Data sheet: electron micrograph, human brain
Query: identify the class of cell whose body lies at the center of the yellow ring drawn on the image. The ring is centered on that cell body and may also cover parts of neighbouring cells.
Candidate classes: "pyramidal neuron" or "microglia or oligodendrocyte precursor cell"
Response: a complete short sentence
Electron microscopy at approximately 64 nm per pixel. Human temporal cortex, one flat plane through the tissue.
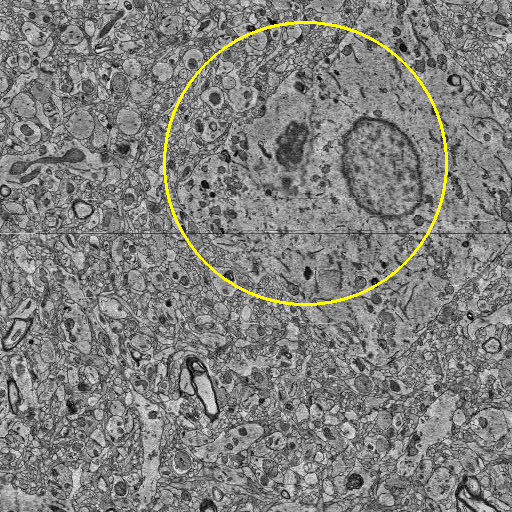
At the center of the ring lies a microglial cell or oligodendrocyte precursor cell.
